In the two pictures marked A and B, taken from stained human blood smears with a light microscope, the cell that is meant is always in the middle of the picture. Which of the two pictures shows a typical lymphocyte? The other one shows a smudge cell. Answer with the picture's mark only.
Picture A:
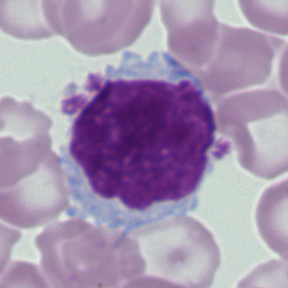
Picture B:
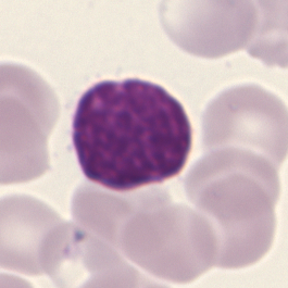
A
